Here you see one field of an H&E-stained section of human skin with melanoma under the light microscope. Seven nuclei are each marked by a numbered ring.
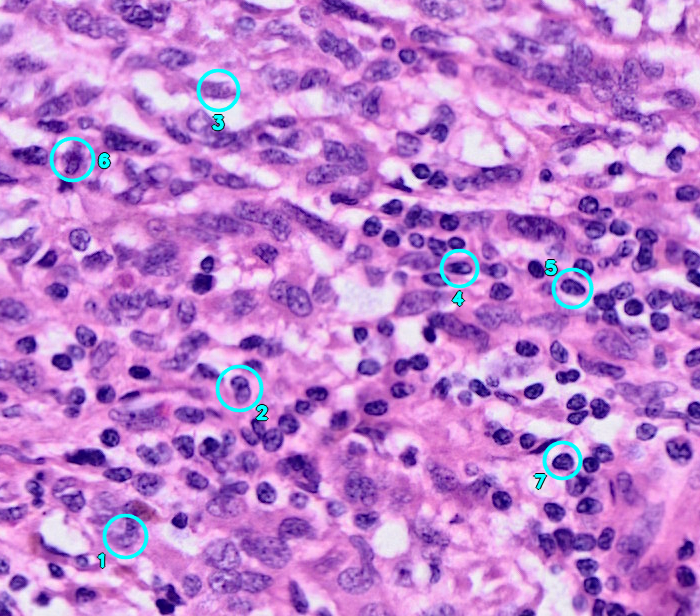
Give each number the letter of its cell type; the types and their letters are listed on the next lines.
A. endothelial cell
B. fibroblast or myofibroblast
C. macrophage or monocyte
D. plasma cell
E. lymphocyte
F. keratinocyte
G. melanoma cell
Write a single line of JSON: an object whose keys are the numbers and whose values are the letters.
{"1": "G", "2": "E", "3": "G", "4": "E", "5": "E", "6": "G", "7": "E"}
